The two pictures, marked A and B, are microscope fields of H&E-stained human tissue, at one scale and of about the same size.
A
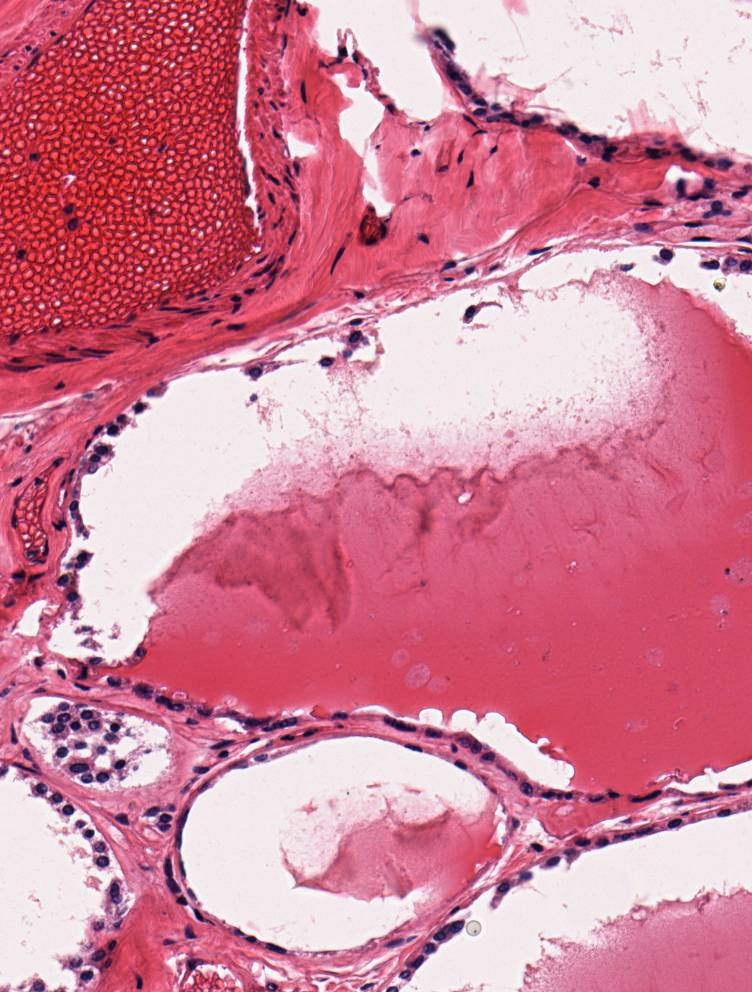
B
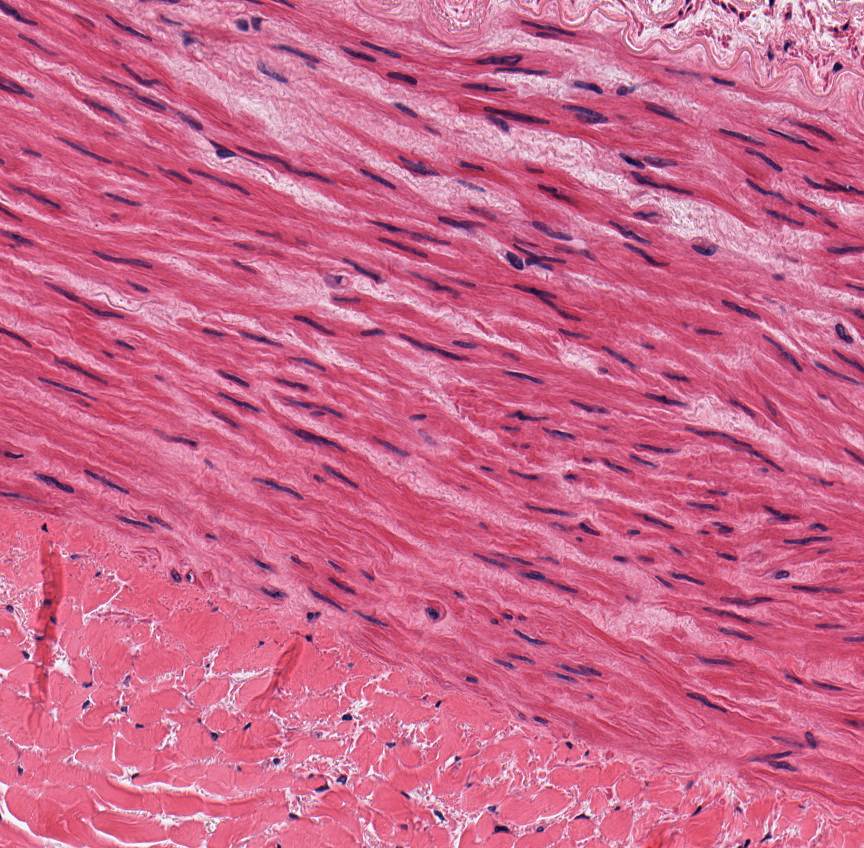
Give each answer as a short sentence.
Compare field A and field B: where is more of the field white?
It is field A in which white space covers the larger part.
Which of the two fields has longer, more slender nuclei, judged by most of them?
Longer, more slender nuclei lie in field B.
